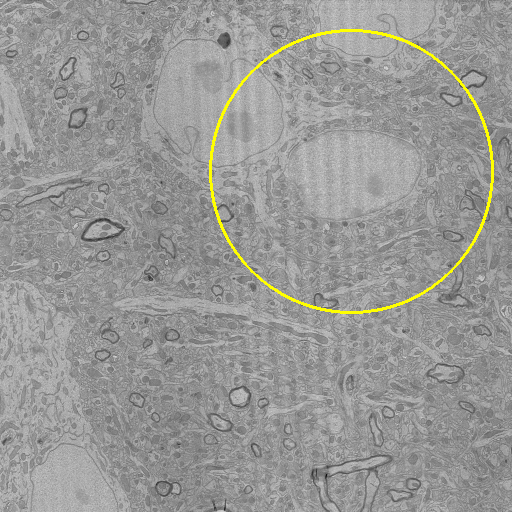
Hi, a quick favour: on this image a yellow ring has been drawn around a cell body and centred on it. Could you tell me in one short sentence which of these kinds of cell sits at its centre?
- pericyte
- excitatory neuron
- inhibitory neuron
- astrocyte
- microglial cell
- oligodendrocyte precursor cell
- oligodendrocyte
The ring is centred on an astrocyte.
